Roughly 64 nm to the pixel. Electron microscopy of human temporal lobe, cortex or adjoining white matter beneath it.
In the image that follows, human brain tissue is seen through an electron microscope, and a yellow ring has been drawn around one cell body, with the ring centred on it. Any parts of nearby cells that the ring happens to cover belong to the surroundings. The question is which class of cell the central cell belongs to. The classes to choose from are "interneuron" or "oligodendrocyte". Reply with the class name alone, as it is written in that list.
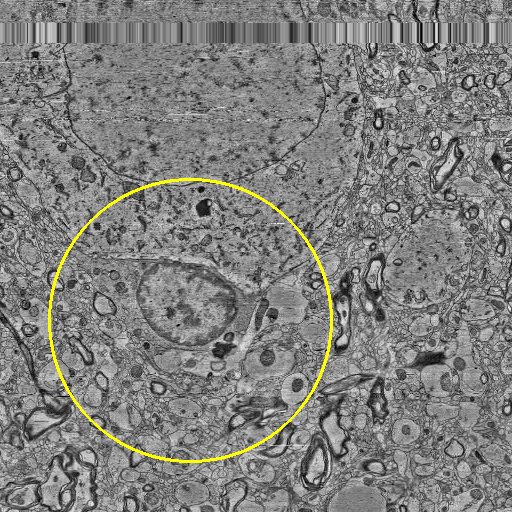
oligodendrocyte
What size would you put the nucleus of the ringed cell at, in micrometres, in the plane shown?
In this plane, roughly 6 by 5 micrometres.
